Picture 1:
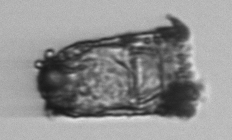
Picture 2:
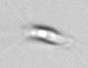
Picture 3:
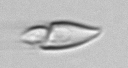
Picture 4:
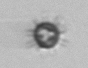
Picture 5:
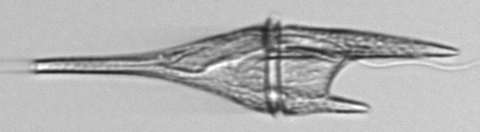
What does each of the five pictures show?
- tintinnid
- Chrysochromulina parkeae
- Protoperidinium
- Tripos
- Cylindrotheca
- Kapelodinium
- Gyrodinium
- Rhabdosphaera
1: tintinnid
2: Chrysochromulina parkeae
3: Kapelodinium
4: Rhabdosphaera
5: Tripos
